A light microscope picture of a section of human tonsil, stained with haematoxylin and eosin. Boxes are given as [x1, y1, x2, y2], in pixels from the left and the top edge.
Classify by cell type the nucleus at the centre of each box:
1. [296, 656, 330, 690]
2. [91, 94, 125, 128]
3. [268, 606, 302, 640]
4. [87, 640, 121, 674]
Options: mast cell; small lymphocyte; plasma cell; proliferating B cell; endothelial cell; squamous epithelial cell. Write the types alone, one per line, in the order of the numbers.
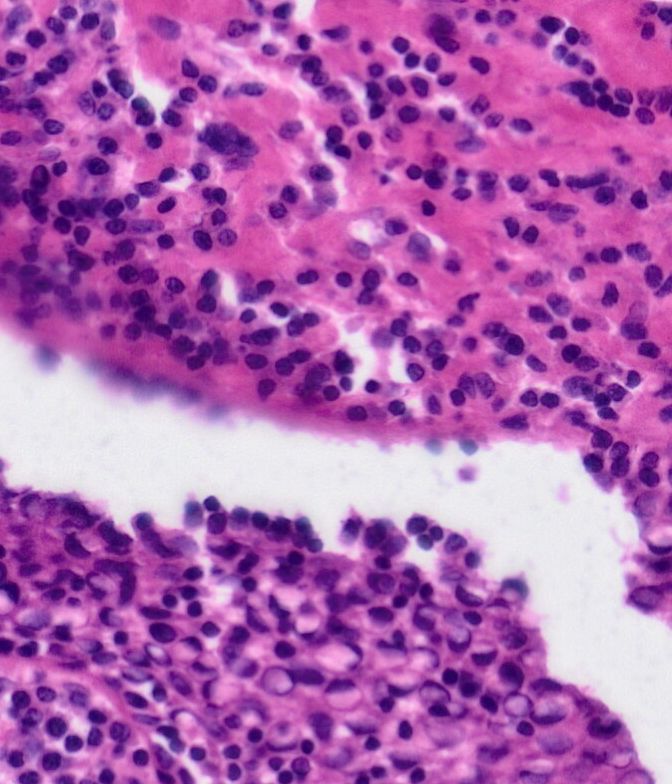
squamous epithelial cell
plasma cell
squamous epithelial cell
squamous epithelial cell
